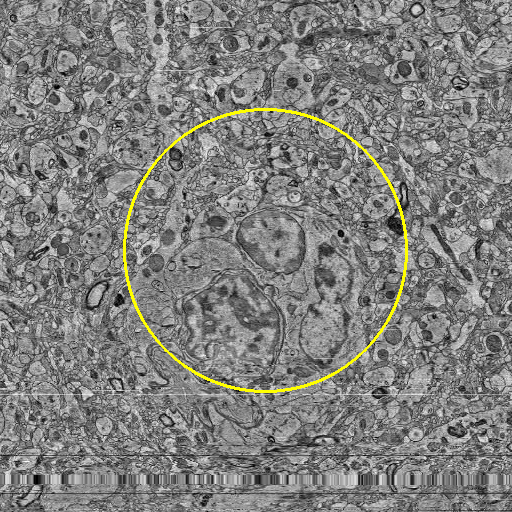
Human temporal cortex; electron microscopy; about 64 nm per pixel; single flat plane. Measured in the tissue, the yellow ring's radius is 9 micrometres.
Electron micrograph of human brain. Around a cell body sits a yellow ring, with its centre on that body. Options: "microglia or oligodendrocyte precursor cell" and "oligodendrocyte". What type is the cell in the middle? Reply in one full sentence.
The cell sitting at the centre of the yellow ring is a microglial cell or oligodendrocyte precursor cell.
